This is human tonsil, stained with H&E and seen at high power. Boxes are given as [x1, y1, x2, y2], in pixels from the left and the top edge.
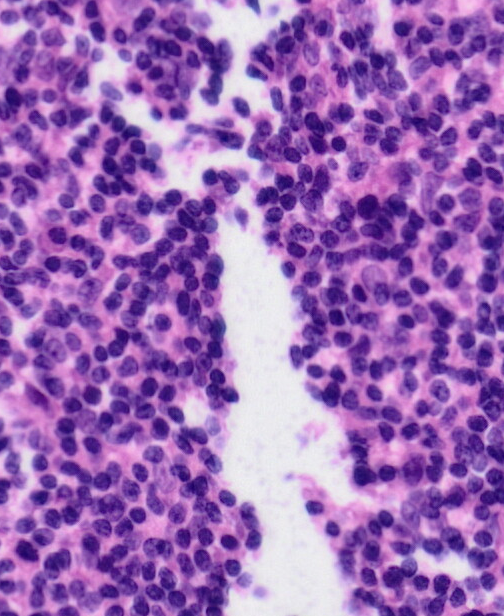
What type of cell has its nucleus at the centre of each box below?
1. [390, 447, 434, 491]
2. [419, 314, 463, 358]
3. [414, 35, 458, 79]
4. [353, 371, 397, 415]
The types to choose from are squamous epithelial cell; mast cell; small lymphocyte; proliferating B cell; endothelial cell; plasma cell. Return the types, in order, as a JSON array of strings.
["proliferating B cell", "small lymphocyte", "small lymphocyte", "small lymphocyte"]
